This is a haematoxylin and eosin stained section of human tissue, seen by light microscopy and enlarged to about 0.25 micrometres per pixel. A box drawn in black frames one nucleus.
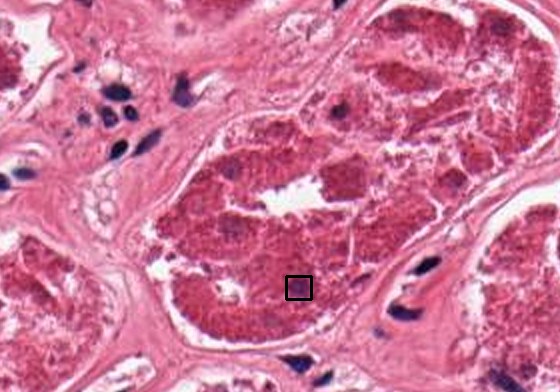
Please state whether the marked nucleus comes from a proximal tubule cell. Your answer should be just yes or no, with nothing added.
yes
